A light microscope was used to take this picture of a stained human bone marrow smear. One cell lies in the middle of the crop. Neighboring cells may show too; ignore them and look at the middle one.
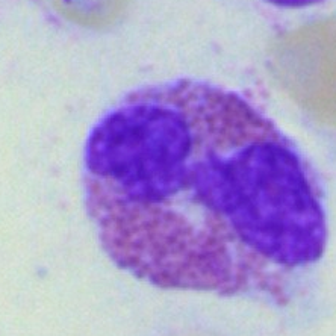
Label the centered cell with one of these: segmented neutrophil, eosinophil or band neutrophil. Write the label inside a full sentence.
The middle of this crop is occupied by an eosinophil.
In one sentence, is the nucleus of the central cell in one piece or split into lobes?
Rather than a single mass, the nucleus forms two or more lobes.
